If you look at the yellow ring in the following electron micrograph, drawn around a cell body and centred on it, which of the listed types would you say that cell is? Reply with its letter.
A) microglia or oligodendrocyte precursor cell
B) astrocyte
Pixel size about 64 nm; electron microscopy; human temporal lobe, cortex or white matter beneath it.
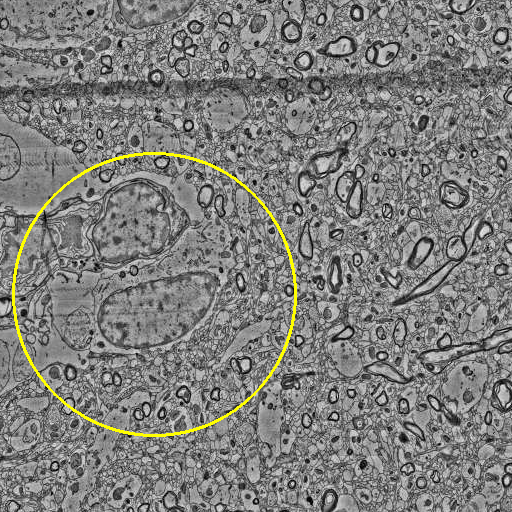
A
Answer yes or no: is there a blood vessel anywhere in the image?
Yes, there is a blood vessel.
